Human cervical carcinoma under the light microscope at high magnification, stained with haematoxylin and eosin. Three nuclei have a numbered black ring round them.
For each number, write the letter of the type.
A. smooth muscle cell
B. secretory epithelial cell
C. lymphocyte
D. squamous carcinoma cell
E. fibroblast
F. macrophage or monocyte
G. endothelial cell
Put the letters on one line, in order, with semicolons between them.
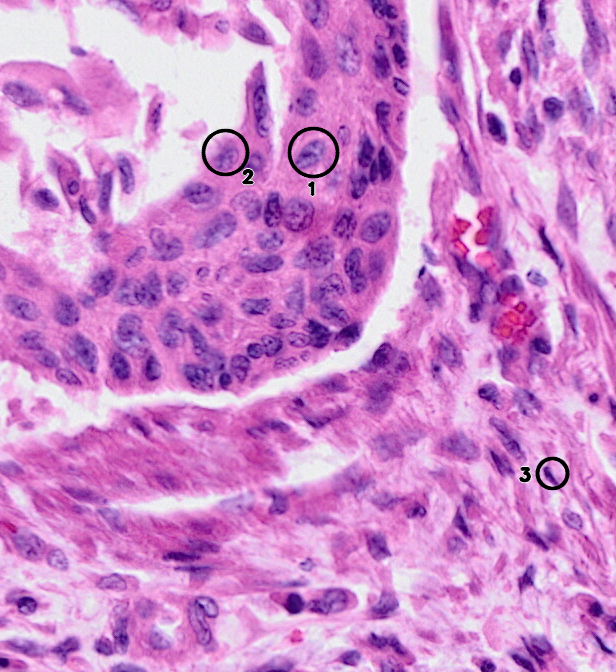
D; D; E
